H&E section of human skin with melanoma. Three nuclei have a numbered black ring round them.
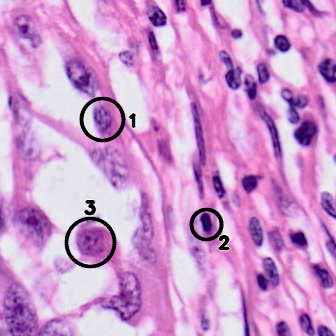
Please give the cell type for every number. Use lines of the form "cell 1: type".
cell 1: melanoma cell
cell 2: plasma cell
cell 3: melanoma cell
